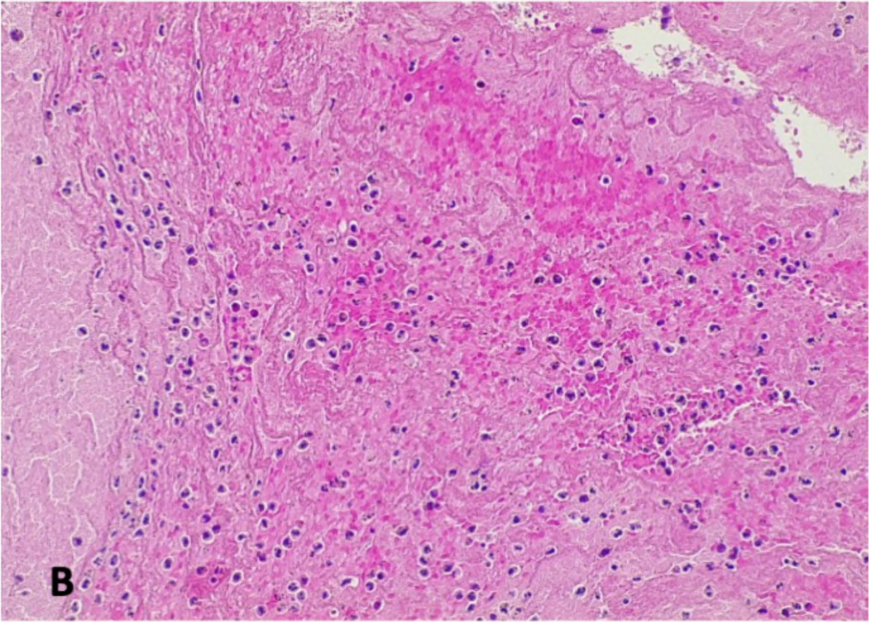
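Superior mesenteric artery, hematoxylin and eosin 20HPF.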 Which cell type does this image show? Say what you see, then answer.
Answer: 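Many scattered small round cells with dark, compact, lobed-looking nuclei. The cells lie among pink fibrillar material and red blood cells.
Neutrophils.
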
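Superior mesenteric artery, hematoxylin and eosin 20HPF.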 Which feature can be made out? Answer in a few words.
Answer: Fibrin strands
